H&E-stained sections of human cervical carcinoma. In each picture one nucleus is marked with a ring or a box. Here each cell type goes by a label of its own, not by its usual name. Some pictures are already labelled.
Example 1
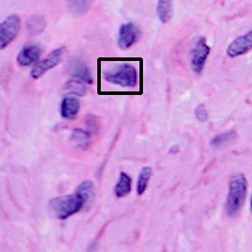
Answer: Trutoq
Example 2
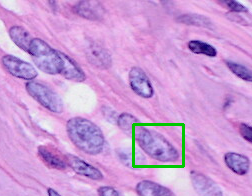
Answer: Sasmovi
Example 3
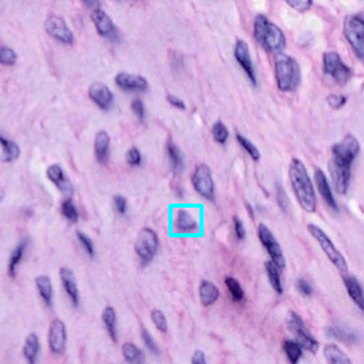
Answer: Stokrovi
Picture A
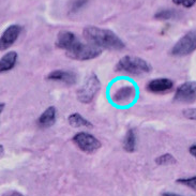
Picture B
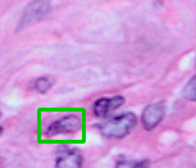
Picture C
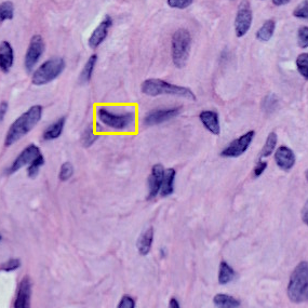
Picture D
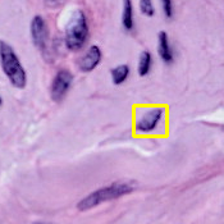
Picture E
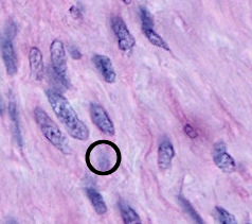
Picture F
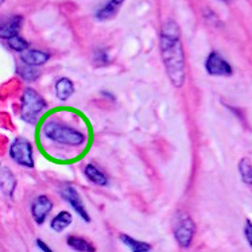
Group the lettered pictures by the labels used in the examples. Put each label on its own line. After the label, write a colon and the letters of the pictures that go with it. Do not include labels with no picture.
Trutoq: A, C, D
Sasmovi: B, F
Stokrovi: E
